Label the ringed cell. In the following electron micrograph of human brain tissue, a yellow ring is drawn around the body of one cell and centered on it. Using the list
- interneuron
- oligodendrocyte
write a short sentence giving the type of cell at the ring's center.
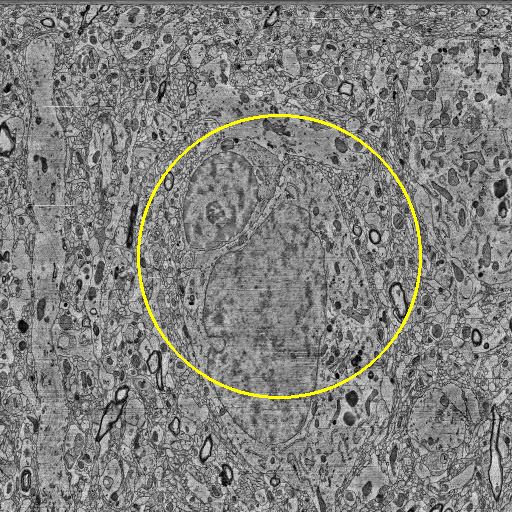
The cell body at the ring's center is that of an interneuron.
